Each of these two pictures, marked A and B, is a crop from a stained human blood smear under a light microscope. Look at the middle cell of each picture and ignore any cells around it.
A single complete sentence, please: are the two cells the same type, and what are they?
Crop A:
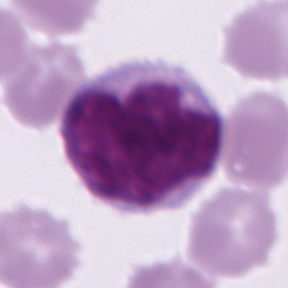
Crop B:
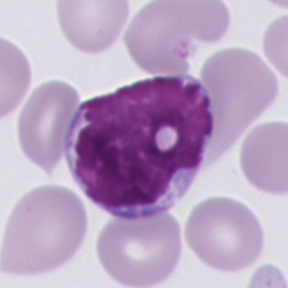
No, crop A contains a myeloblast, and crop B contains a large granular lymphocyte.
